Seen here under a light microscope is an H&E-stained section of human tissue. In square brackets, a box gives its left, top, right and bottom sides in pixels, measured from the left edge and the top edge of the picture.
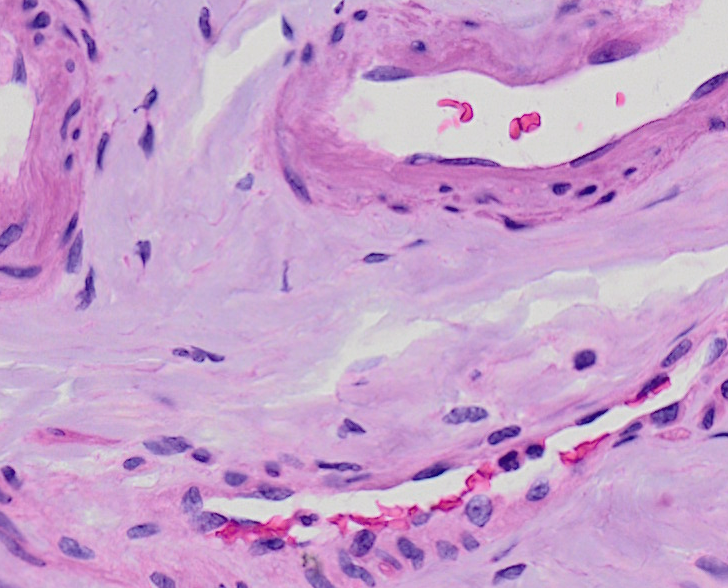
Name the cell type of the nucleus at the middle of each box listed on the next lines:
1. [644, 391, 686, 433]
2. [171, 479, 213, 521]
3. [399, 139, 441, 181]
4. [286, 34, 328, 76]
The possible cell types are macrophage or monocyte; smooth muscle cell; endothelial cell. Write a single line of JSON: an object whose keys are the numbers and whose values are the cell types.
{"1": "endothelial cell", "2": "endothelial cell", "3": "endothelial cell", "4": "smooth muscle cell"}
